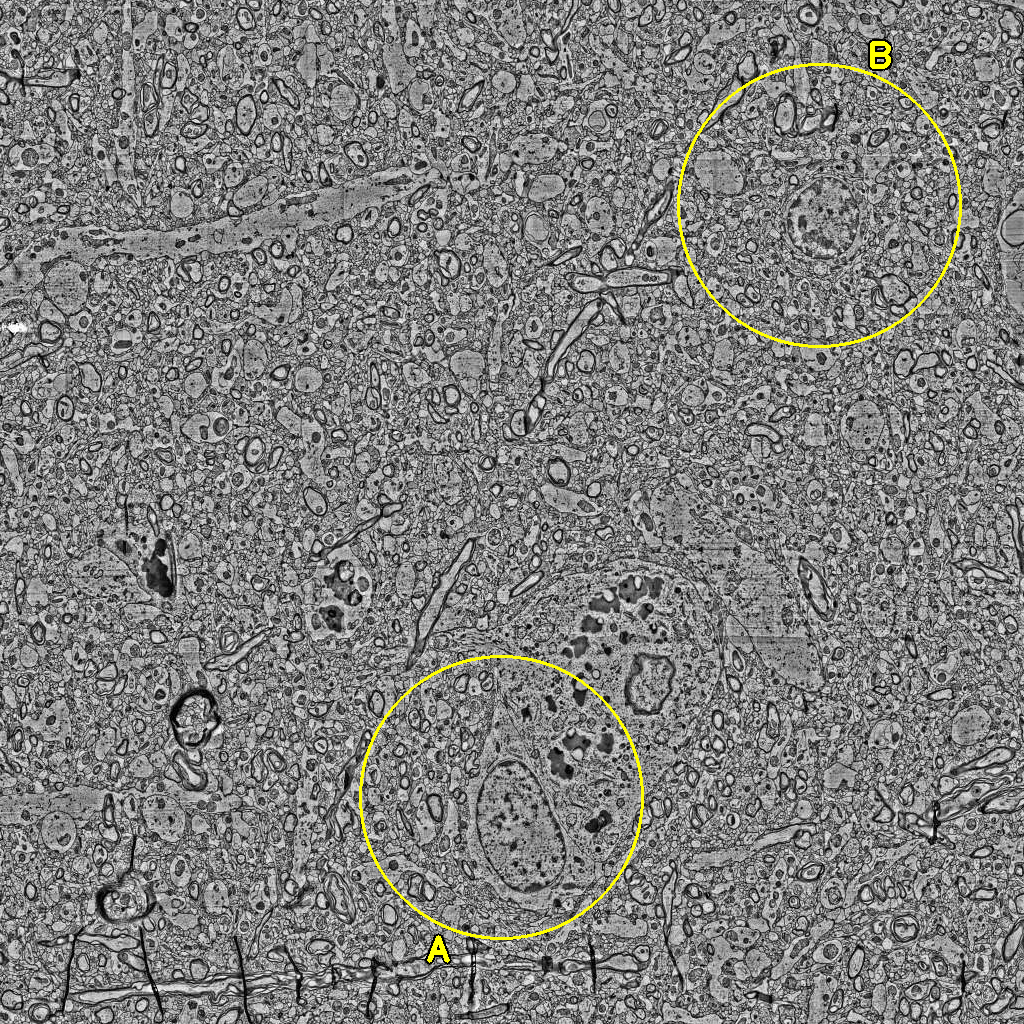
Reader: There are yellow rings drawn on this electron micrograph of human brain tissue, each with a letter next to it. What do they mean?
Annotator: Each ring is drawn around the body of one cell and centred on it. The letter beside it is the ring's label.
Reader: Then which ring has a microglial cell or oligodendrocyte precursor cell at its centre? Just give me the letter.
A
